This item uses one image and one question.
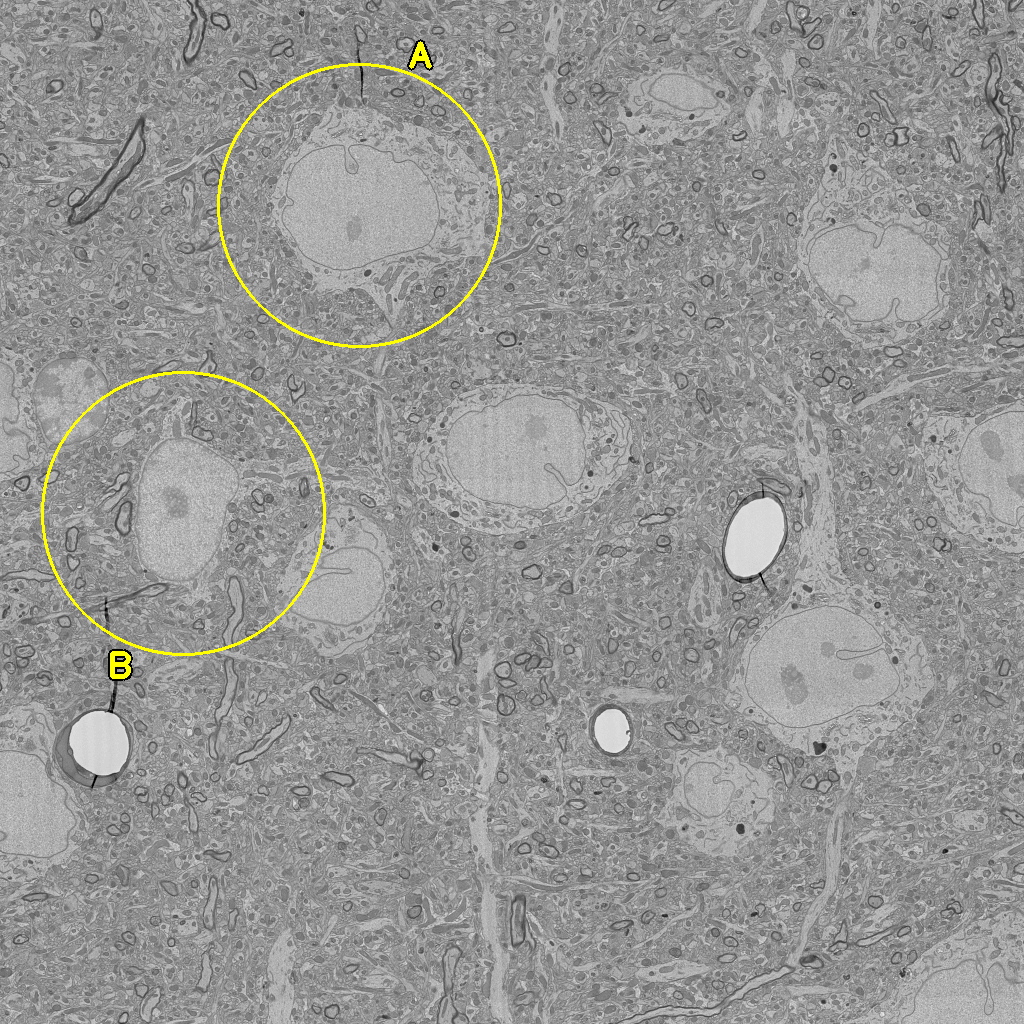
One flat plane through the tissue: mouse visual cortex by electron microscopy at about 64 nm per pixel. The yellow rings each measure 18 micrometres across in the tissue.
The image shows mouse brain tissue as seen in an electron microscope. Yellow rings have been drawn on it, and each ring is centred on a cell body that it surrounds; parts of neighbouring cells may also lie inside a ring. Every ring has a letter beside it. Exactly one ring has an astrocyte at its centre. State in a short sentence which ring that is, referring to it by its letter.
Ring B has that cell at its centre.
